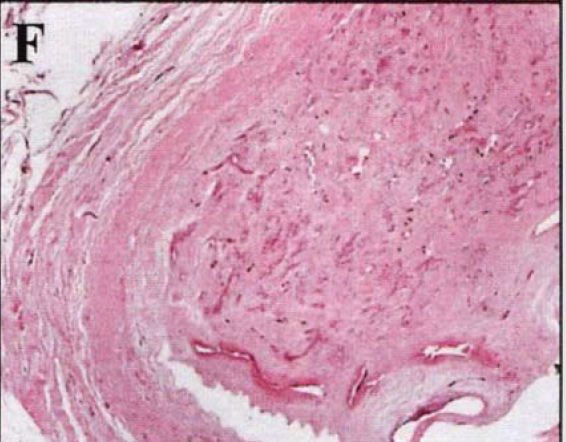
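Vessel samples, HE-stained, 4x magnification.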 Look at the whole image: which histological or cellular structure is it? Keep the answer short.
Recanalized thrombus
